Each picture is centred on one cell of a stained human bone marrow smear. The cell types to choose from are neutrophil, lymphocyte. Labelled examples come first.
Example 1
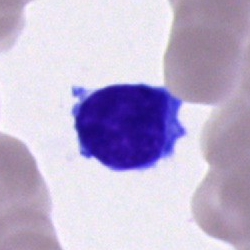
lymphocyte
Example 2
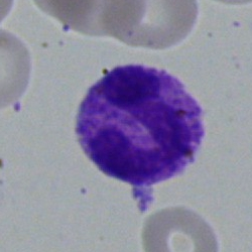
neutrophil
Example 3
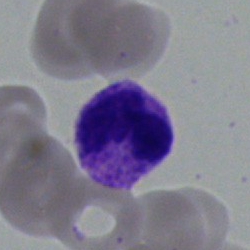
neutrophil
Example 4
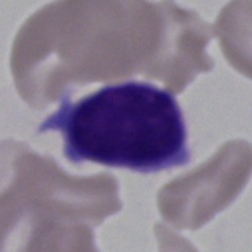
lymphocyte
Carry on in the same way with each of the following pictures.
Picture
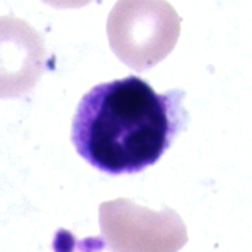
neutrophil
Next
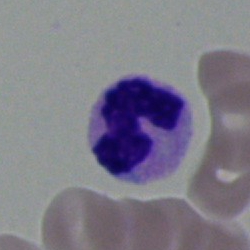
neutrophil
